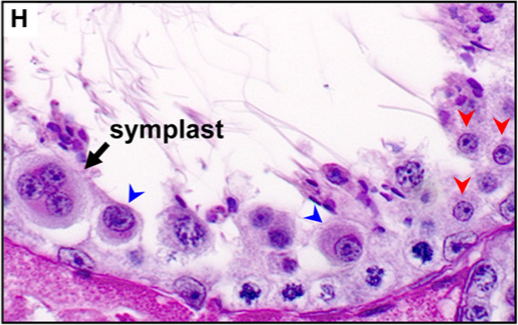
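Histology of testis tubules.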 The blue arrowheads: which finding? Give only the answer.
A: Abnormal spermatids with large nuclei and abundant cytoplasm.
